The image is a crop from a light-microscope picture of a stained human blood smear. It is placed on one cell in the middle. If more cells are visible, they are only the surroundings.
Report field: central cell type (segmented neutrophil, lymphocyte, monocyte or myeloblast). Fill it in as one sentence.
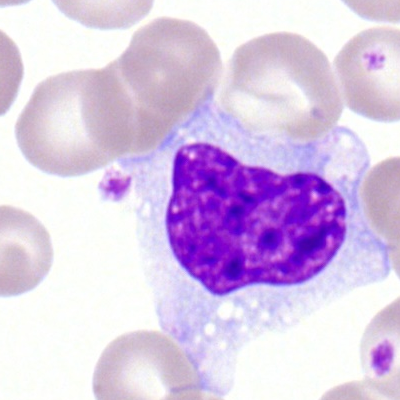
This crop's central cell is a monocyte.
